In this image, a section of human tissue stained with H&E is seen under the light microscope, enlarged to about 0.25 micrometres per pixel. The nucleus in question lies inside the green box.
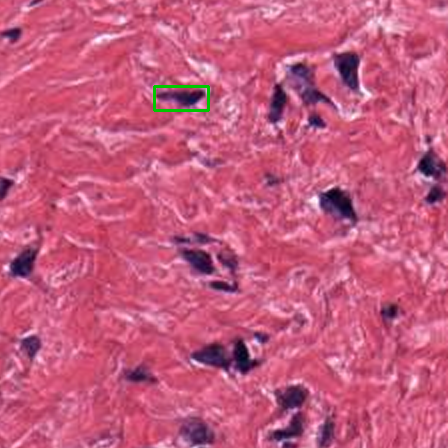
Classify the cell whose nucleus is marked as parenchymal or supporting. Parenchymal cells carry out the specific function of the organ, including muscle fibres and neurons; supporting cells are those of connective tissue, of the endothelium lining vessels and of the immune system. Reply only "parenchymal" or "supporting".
supporting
